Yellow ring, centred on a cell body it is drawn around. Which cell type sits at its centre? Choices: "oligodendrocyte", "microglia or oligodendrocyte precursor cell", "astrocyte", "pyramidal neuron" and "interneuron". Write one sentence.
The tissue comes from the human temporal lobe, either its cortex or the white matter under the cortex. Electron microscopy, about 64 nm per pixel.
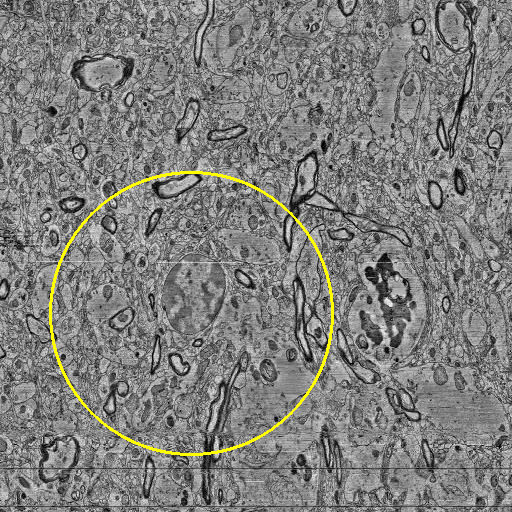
At the centre of the ring sits a microglial cell or oligodendrocyte precursor cell.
